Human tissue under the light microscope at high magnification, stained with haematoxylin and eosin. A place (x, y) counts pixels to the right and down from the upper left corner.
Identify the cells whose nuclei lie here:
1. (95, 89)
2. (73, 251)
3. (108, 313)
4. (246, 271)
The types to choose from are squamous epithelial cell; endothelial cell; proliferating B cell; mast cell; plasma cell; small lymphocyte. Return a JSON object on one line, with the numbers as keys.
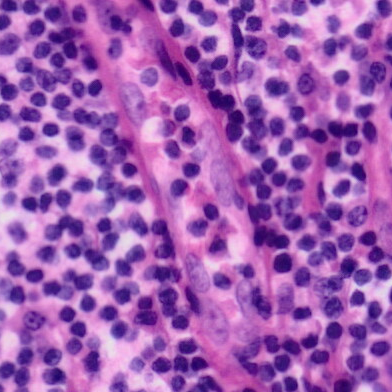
{"1": "small lymphocyte", "2": "small lymphocyte", "3": "small lymphocyte", "4": "endothelial cell"}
